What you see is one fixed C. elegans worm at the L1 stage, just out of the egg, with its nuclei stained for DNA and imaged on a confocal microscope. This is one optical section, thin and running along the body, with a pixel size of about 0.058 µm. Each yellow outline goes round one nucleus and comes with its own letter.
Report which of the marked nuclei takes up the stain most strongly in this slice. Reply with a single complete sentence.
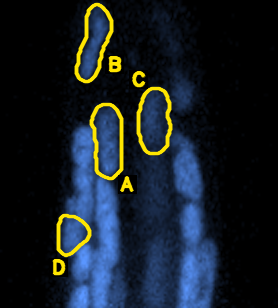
D is the most strongly stained.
